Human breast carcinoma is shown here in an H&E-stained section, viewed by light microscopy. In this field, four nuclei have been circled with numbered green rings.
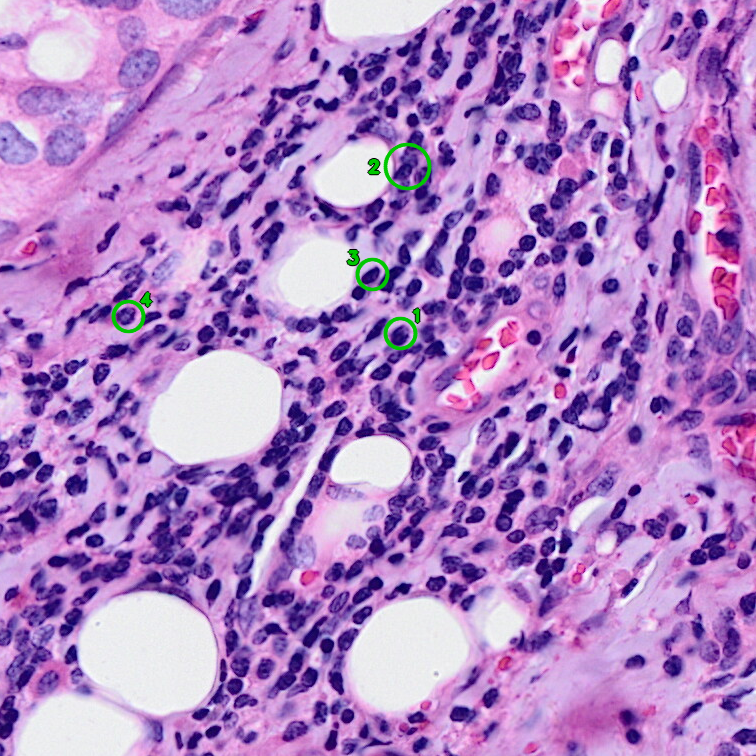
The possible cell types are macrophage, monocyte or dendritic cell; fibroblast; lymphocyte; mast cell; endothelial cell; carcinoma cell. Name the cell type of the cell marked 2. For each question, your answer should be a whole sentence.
Among the marked cells, number 2 is a lymphocyte.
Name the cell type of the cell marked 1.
Recognised here as a lymphocyte is the cell numbered 1.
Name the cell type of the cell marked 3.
Marked with the number 3, this cell is a lymphocyte.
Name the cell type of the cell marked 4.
Cell 4, as marked in the section, is a mast cell.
